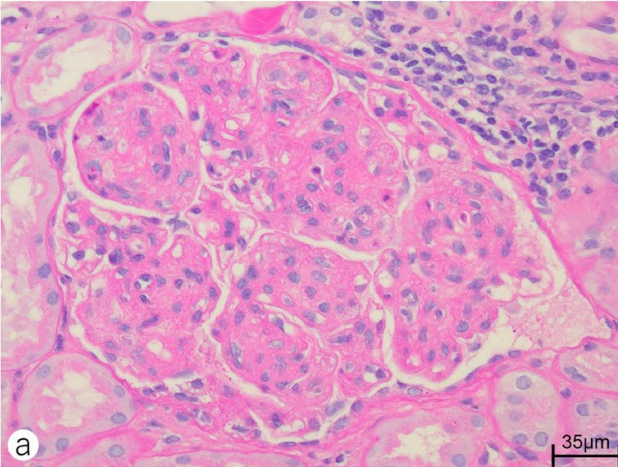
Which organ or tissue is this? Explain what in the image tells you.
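Tubules with cuboidal epithelium surround the tuft. On this evidence: glomerulus.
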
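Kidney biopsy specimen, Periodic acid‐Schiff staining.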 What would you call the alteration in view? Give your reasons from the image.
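Lobular architecture. The glomerular tuft is divided into several rounded, separate lobules by clefts. Each lobule is packed with nuclei and pink matrix.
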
